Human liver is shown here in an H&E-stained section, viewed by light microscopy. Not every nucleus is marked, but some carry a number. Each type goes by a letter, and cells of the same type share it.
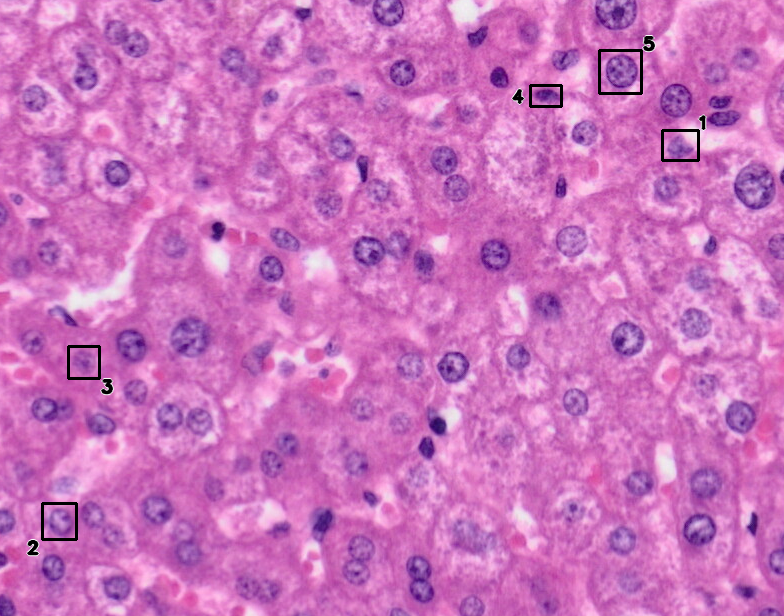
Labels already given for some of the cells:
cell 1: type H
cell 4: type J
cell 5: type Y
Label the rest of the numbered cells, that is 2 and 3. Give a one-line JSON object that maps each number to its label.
{"2": "type Y", "3": "type Y"}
